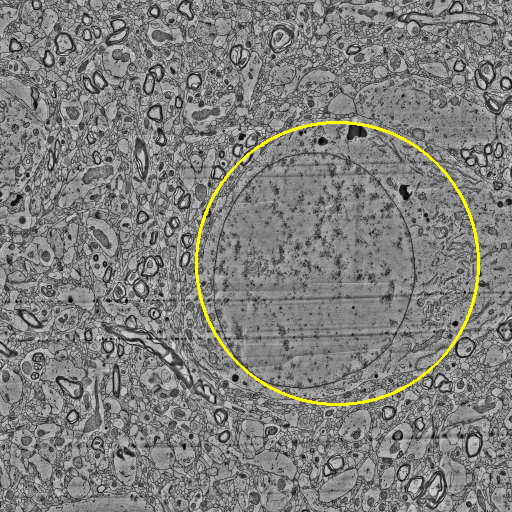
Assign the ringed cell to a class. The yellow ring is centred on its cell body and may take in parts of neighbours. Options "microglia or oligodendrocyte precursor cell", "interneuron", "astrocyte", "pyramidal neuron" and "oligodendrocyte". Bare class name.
pyramidal neuron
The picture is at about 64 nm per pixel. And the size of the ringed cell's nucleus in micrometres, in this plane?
Roughly 15 by 13 micrometres is the size of the nucleus in this plane.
